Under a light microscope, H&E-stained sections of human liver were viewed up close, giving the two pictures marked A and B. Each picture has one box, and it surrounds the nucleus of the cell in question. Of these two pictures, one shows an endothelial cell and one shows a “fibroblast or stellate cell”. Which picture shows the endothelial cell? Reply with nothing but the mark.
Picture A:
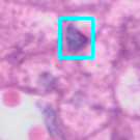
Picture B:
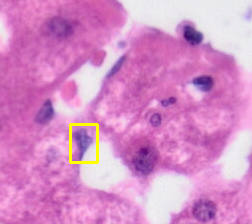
A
